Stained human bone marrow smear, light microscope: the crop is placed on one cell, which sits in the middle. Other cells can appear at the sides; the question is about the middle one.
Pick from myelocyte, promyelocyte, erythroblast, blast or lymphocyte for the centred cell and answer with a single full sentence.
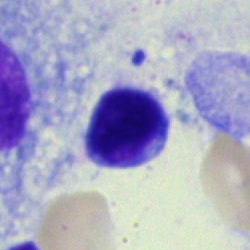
By classification, the middle cell of this crop is a lymphocyte.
